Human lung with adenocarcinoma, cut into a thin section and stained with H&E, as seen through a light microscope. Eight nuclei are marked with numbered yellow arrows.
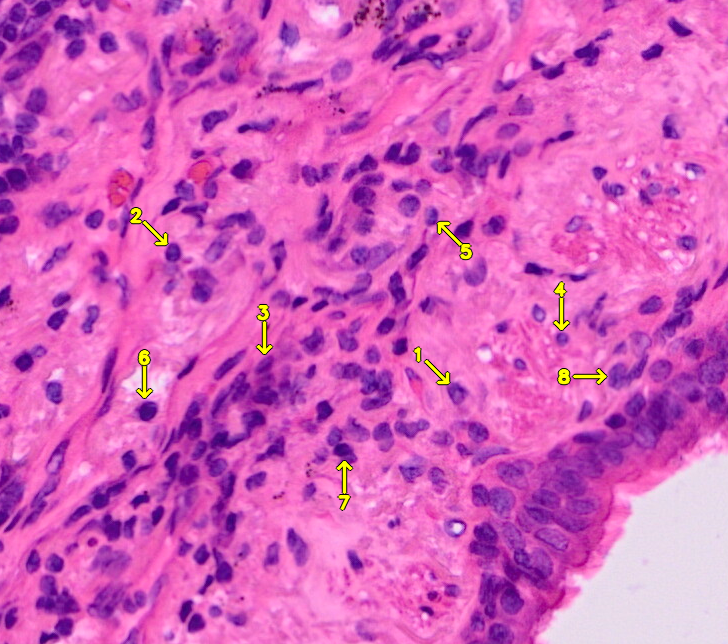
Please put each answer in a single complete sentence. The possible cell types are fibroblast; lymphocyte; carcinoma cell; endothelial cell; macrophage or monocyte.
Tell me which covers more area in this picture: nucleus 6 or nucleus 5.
Nucleus 6 covers more area, about 1.5 times as much as nucleus 5.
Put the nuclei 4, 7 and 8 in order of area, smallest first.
The order from the smallest nucleus to the largest is 4, 7, 8.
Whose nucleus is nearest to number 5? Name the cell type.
Closest to number 5 lies the nucleus of a lymphocyte.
